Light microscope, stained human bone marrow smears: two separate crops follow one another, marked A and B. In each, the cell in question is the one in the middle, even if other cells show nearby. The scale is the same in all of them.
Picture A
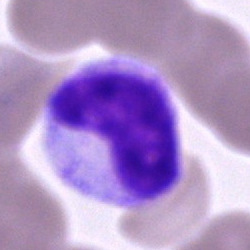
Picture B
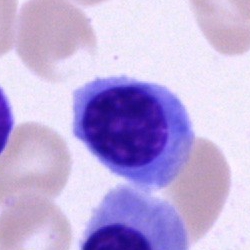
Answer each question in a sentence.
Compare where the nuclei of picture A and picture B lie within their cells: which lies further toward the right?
Seen within its cell, the nucleus in picture A lies further toward the right.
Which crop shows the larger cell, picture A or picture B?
Larger is the cell in picture A, at roughly 1.5 times the area of the other.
